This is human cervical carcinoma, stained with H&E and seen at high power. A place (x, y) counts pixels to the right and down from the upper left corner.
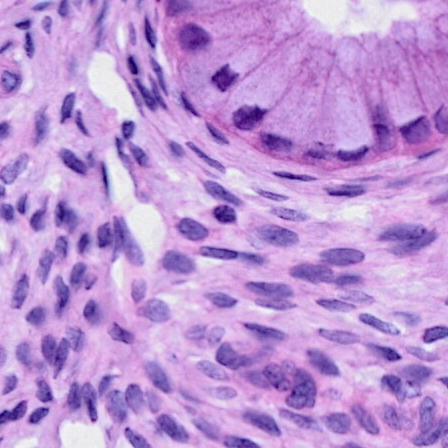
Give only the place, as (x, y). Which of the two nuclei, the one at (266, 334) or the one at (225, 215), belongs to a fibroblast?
(266, 334)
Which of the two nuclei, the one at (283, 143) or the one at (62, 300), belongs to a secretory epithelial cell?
(283, 143)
